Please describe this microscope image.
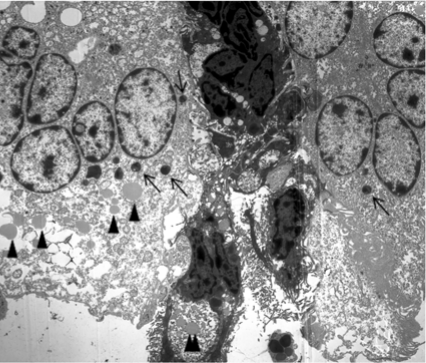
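An electron-lucent giant cell holds a cluster of several round, pale nuclei with mostly fine, dispersed chromatin, set in a pale, foamy, vacuolated cytoplasm. Small dark granules of varying density lie near the nuclei, and round pale droplets are scattered below them.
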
